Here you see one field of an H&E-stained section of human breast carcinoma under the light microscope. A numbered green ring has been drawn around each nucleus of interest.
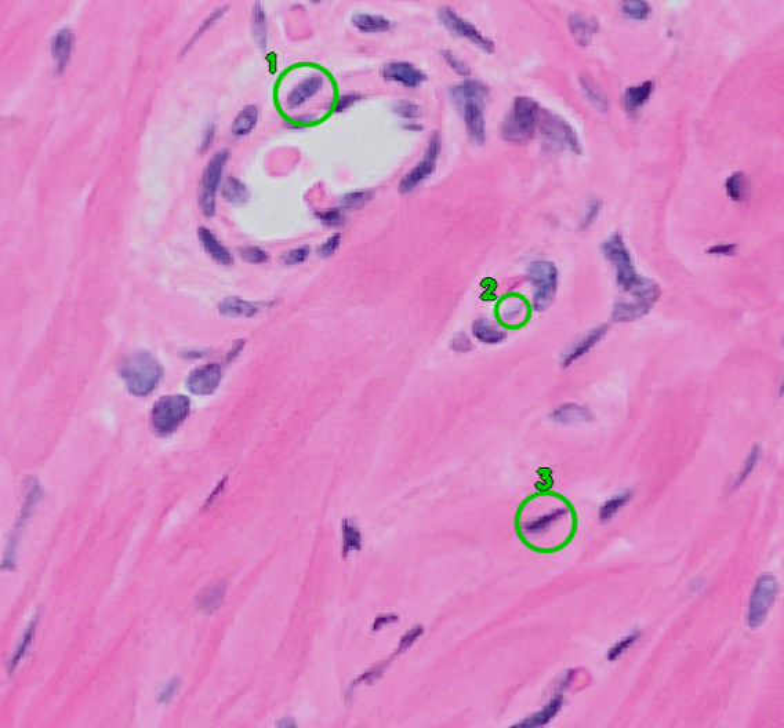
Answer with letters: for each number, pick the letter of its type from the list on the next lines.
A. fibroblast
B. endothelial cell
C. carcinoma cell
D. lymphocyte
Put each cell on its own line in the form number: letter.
1: B
2: B
3: A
